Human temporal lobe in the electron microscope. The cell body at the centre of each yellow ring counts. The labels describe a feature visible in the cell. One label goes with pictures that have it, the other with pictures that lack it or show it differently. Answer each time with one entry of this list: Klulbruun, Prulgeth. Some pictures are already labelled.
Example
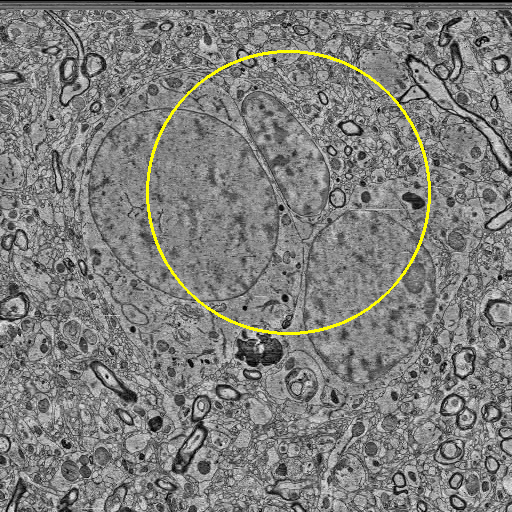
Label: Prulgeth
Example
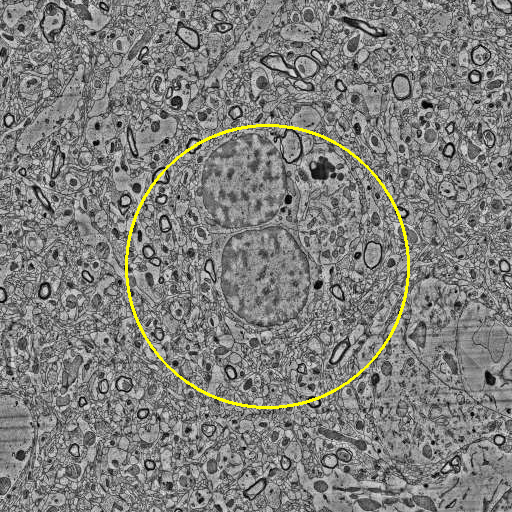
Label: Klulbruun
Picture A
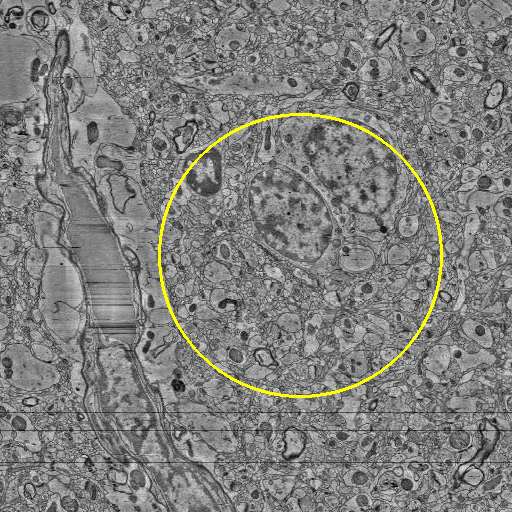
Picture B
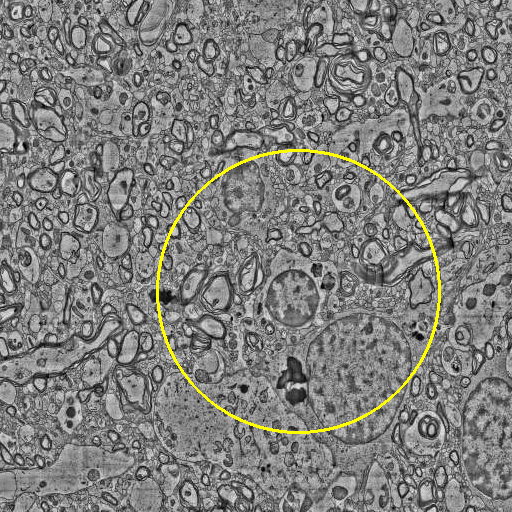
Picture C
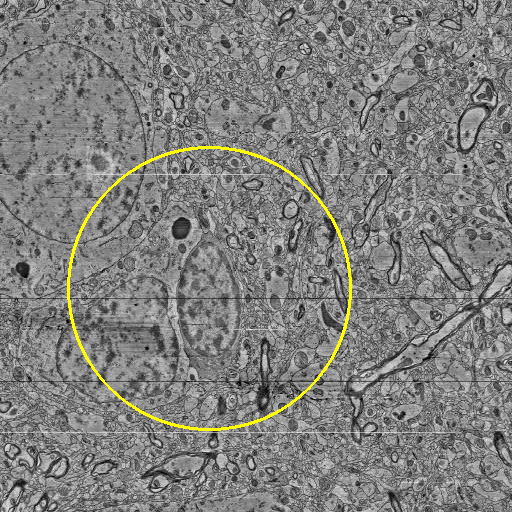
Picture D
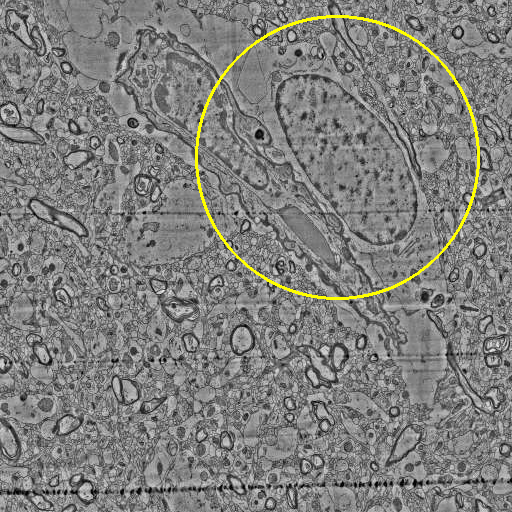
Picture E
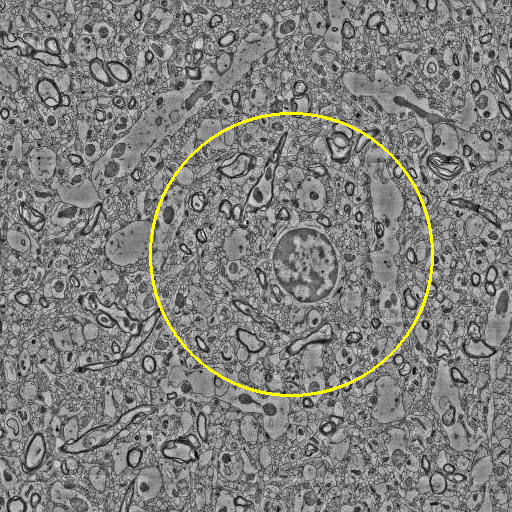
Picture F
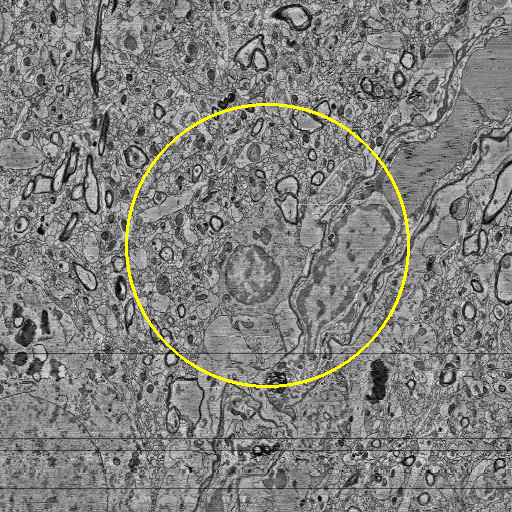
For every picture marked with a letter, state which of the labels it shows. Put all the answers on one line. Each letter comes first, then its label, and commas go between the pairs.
A Prulgeth, B Klulbruun, C Prulgeth, D Prulgeth, E Klulbruun, F Klulbruun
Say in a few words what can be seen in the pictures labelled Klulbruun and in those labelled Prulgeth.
Klulbruun, round or nearly round nuclei; Prulgeth, clearly elongated nuclei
